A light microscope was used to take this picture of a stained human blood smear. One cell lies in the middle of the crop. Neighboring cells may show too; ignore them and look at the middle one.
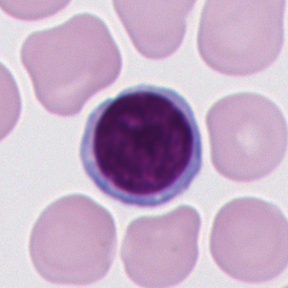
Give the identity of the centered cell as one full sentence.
In the center of this field lies a lymphocyte.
